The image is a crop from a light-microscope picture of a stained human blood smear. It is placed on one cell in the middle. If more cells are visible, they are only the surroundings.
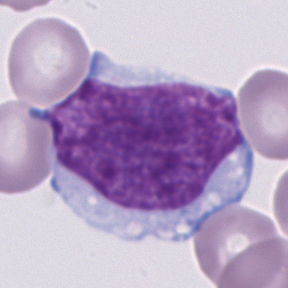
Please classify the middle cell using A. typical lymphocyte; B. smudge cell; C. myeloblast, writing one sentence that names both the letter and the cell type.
Option C is the correct option, with the middle cell being a myeloblast.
